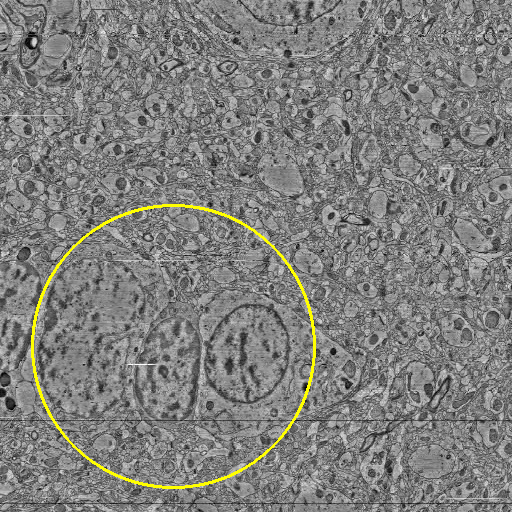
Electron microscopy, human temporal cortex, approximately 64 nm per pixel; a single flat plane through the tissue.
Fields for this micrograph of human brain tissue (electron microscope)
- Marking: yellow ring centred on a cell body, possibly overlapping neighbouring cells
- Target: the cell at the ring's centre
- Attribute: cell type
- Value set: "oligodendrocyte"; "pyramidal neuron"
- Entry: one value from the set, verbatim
oligodendrocyte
